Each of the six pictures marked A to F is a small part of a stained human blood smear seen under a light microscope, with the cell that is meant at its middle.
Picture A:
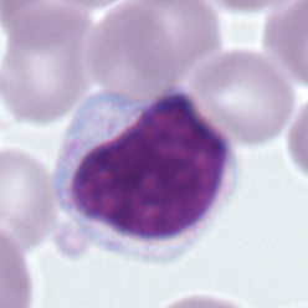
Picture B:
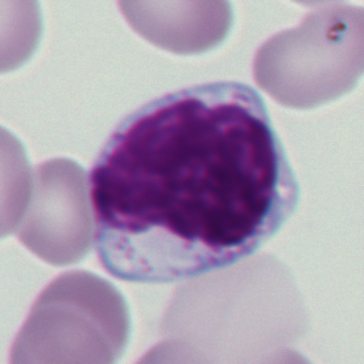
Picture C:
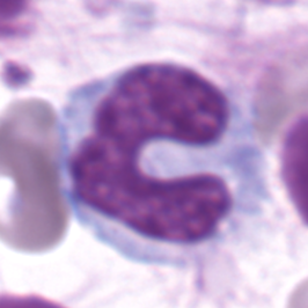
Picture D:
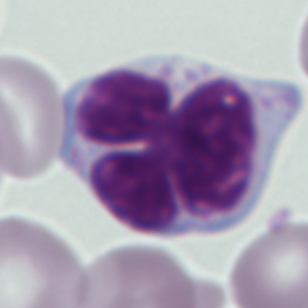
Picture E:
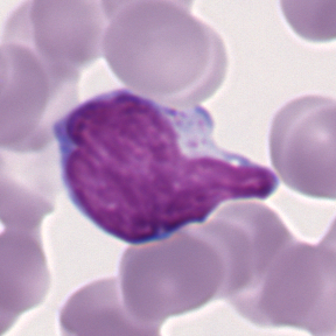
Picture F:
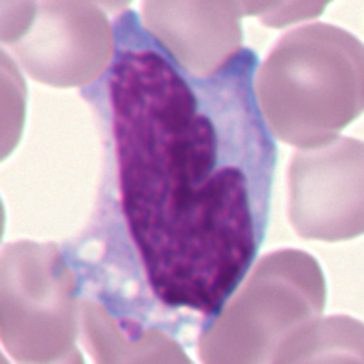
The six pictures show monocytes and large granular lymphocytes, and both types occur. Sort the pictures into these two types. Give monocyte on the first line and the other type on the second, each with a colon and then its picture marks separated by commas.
monocyte: C, F
large granular lymphocyte: A, B, D, E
